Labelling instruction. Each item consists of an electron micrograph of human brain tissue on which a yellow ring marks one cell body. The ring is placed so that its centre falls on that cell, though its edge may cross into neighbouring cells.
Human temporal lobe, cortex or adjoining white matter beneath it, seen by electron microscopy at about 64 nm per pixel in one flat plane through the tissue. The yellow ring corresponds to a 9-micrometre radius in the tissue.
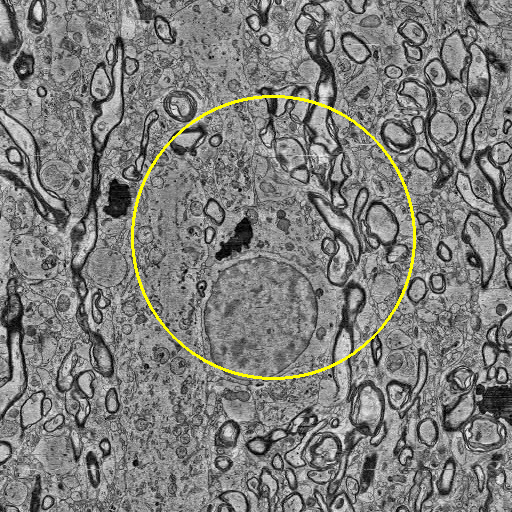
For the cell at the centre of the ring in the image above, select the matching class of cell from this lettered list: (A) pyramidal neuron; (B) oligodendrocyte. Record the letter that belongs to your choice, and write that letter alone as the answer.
B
